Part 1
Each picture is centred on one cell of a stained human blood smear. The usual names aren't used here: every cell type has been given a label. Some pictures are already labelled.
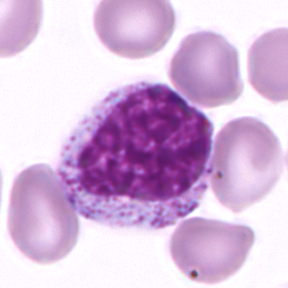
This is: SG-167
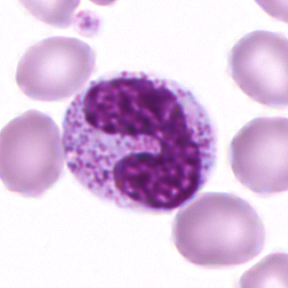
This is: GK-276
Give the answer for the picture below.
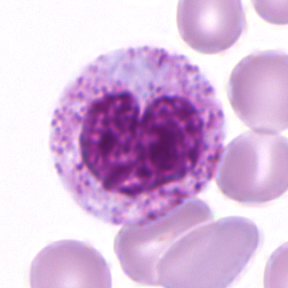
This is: GK-276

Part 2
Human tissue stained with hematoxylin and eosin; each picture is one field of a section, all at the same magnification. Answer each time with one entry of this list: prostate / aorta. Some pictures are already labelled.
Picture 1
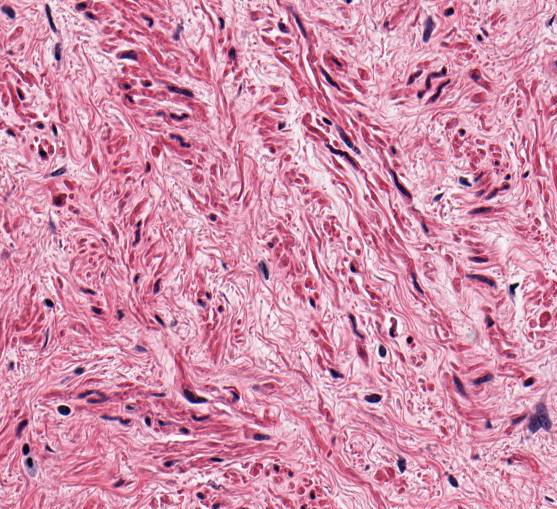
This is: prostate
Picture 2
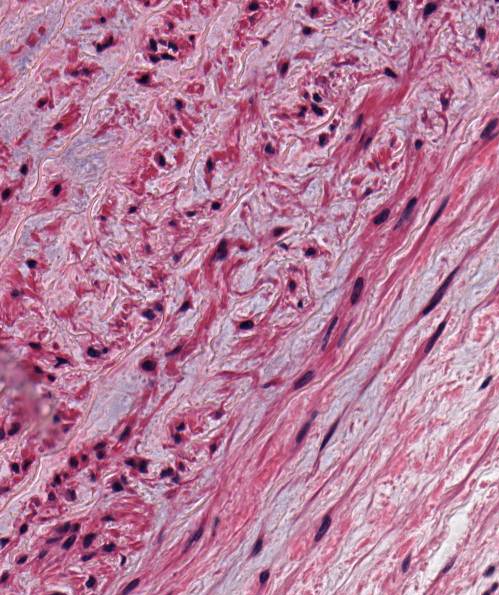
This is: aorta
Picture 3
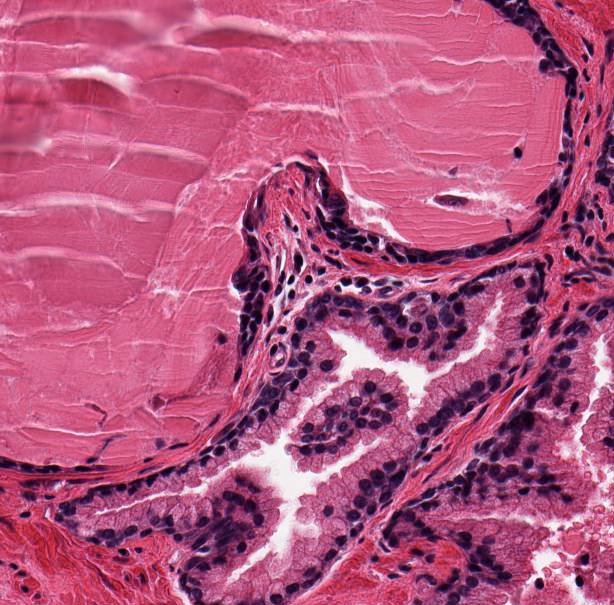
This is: prostate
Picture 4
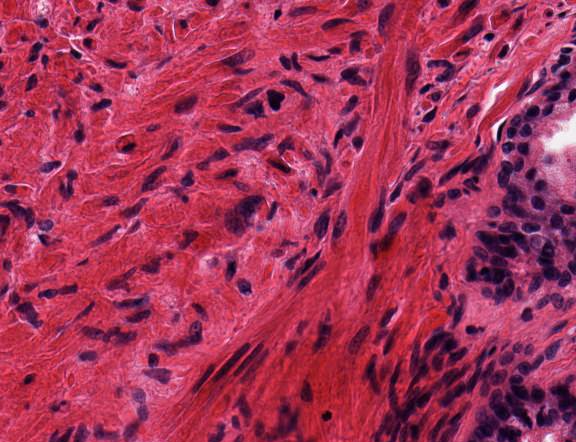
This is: prostate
